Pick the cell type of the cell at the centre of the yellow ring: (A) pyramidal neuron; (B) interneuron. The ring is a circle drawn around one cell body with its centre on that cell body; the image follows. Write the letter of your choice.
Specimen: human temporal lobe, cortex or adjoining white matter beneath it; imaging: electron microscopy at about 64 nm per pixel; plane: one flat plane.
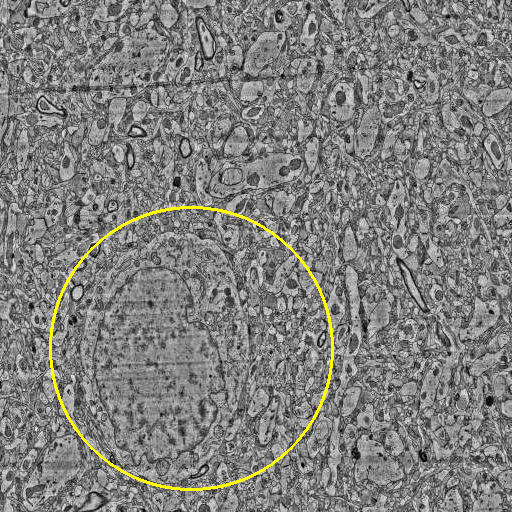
B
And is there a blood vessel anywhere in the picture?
No, the picture includes no blood vessel.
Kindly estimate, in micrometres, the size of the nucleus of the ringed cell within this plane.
The nucleus of the ringed cell is approximately 13 by 9 micrometres in this plane.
